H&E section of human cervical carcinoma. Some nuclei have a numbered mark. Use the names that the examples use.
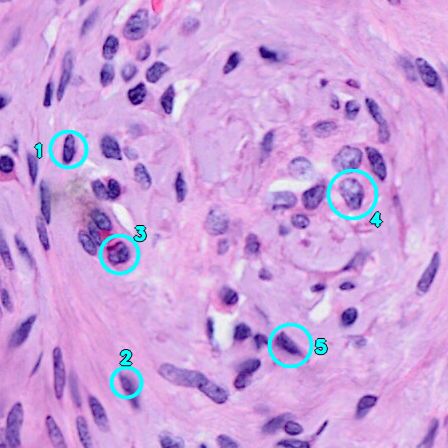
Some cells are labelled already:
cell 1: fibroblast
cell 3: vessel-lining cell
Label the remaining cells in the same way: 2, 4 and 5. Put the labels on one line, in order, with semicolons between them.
fibroblast; vessel-lining cell; fibroblast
